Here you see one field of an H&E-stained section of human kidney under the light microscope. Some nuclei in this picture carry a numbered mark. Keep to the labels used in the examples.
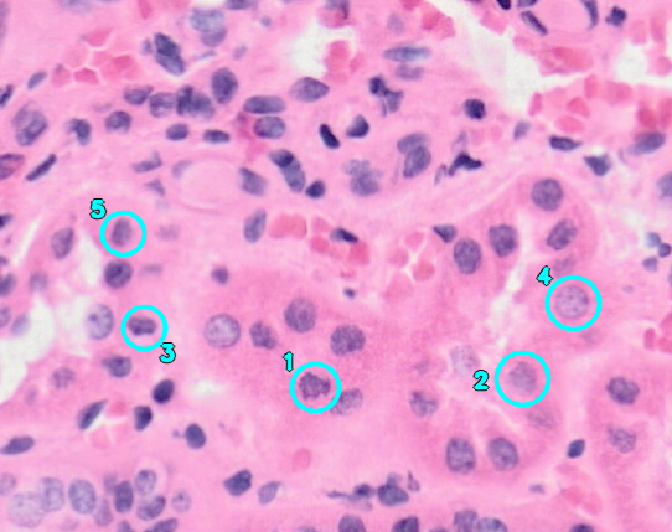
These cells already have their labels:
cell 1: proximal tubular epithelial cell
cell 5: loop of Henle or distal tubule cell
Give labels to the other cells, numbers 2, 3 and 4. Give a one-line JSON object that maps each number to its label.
{"2": "proximal tubular epithelial cell", "3": "loop of Henle or distal tubule cell", "4": "proximal tubular epithelial cell"}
